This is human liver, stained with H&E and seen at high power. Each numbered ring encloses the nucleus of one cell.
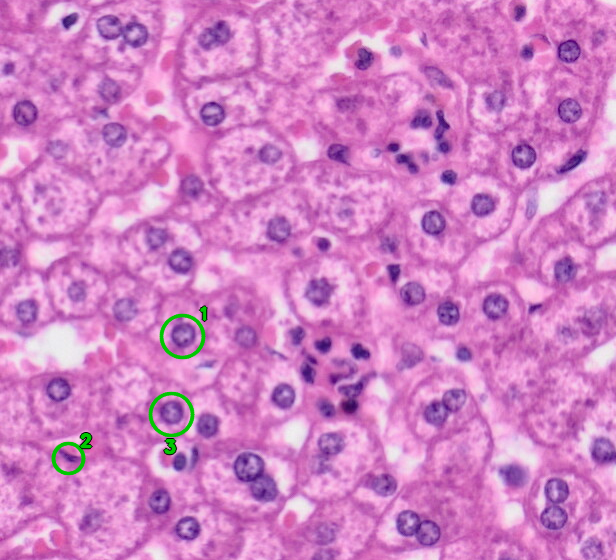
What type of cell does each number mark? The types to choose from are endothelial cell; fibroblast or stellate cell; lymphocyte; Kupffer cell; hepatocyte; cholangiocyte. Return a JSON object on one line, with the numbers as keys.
{"1": "hepatocyte", "2": "endothelial cell", "3": "hepatocyte"}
